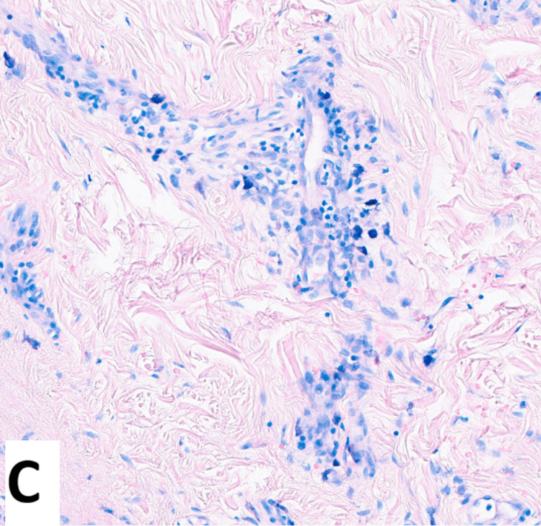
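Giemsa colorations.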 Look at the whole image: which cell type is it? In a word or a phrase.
mast cell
